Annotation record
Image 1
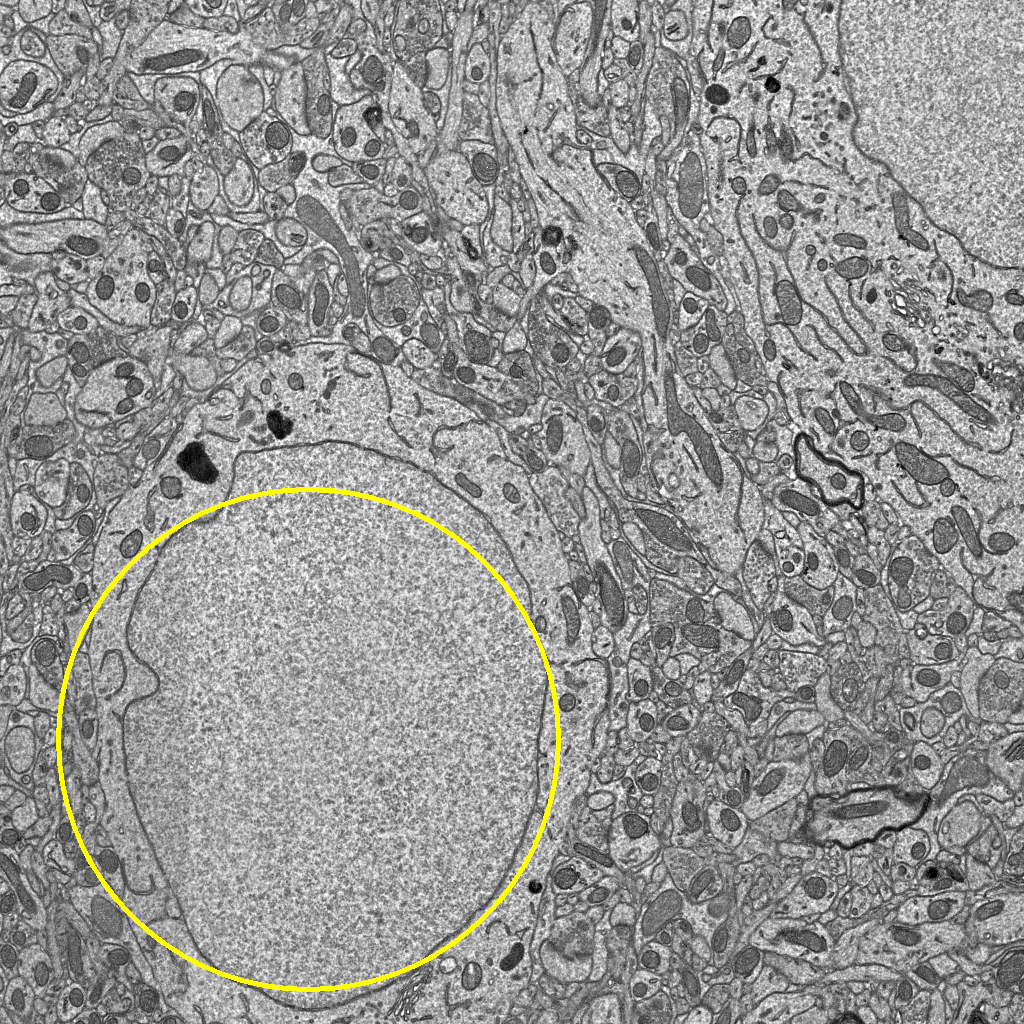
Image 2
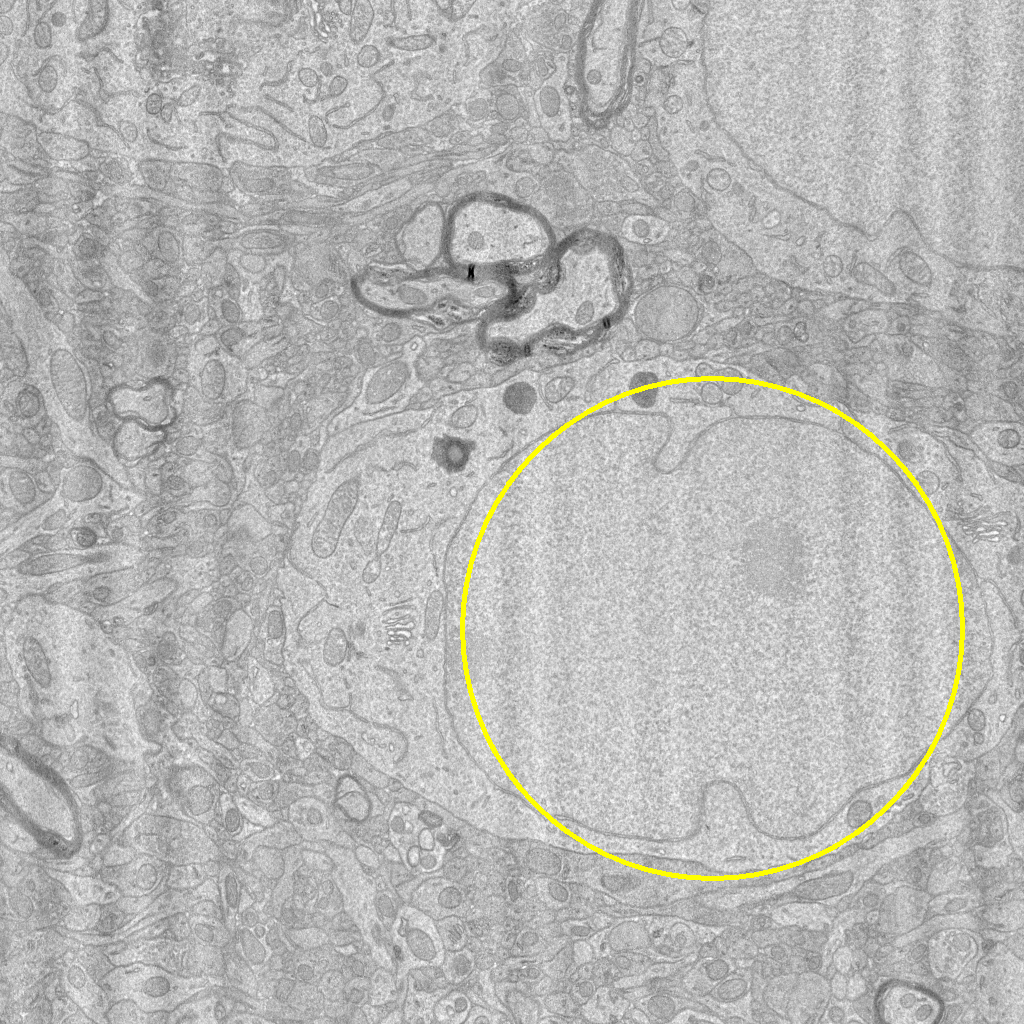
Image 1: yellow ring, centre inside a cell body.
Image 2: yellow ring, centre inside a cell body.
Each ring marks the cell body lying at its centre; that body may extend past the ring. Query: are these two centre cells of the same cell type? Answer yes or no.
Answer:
yes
